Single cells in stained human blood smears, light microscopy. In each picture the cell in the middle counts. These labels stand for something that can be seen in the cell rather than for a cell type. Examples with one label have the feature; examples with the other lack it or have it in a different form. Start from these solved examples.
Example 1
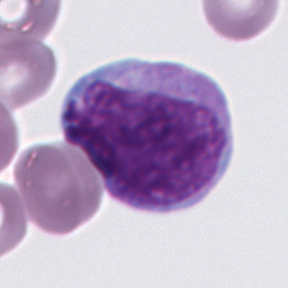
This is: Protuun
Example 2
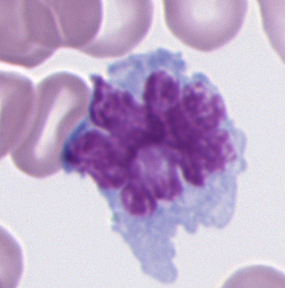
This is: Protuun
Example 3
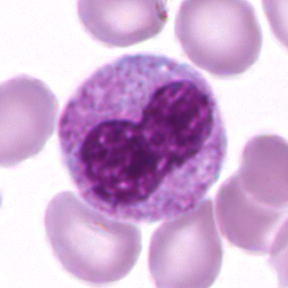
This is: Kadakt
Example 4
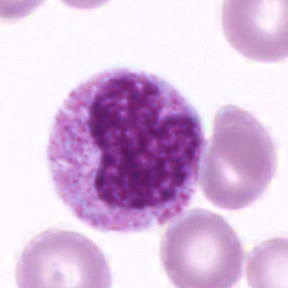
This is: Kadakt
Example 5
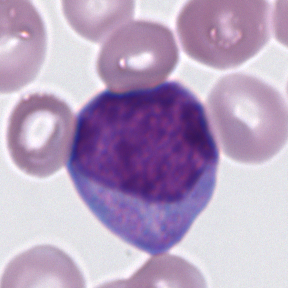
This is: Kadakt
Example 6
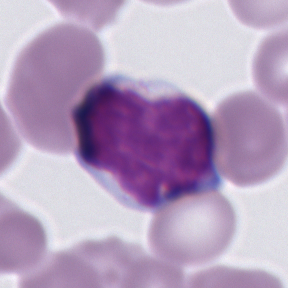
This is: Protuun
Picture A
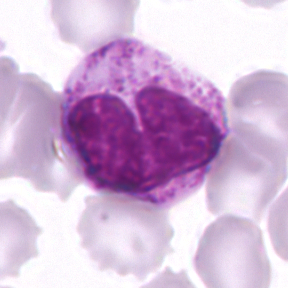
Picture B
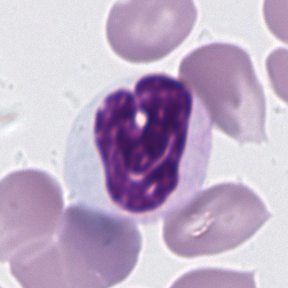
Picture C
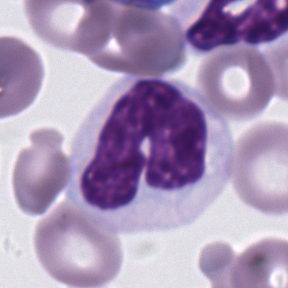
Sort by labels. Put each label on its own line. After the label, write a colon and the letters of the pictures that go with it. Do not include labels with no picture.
Protuun: B, C
Kadakt: A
